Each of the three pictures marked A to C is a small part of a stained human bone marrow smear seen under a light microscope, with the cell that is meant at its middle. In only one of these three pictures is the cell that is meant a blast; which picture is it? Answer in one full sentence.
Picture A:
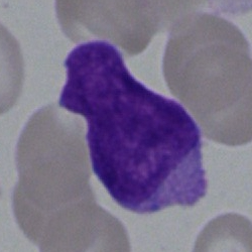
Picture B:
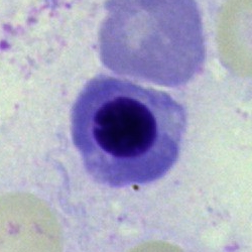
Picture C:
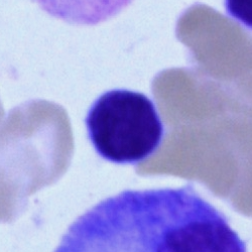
It is picture A that shows the blast.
